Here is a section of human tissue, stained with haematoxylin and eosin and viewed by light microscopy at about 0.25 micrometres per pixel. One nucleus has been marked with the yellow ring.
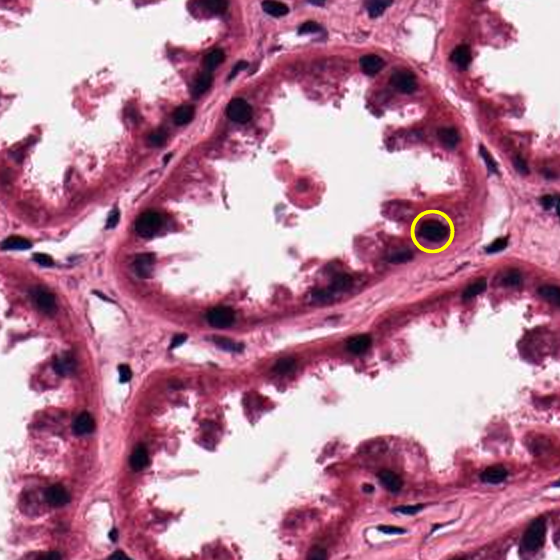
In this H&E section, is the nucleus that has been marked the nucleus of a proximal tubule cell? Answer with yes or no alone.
yes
